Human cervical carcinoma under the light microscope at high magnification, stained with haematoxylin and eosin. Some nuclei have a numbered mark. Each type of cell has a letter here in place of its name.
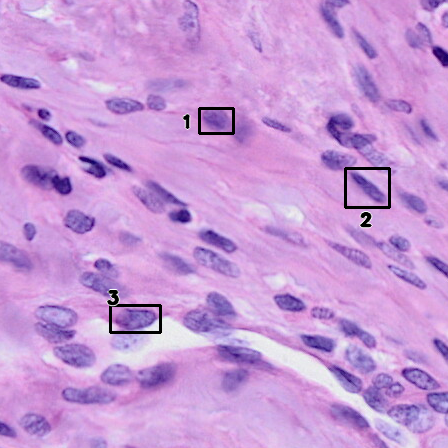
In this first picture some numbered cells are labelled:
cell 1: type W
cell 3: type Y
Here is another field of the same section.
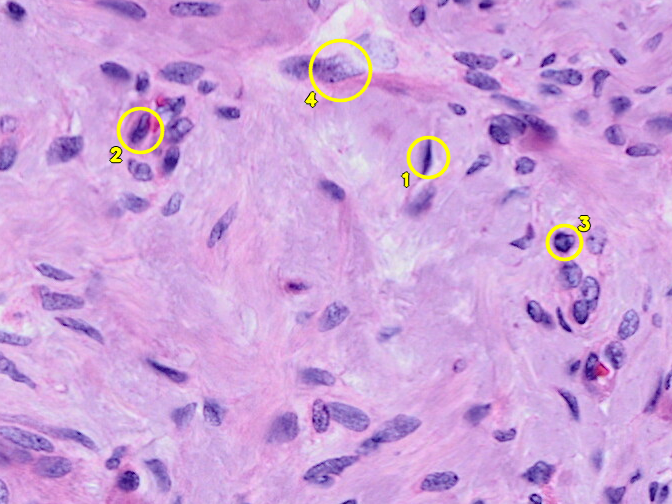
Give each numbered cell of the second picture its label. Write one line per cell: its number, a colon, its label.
1: type W
2: type Y
3: type Y
4: type Y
